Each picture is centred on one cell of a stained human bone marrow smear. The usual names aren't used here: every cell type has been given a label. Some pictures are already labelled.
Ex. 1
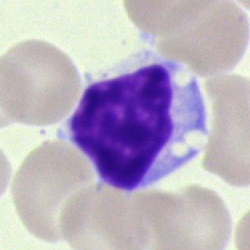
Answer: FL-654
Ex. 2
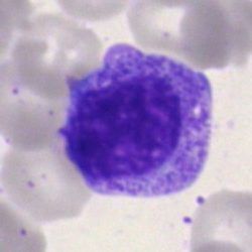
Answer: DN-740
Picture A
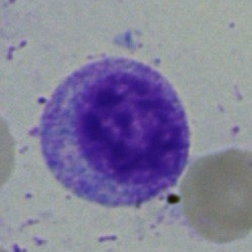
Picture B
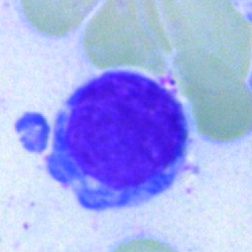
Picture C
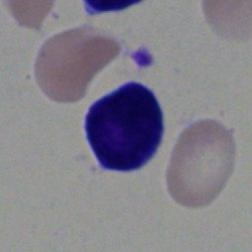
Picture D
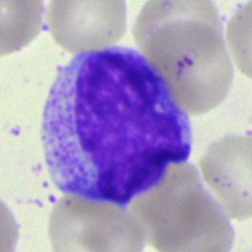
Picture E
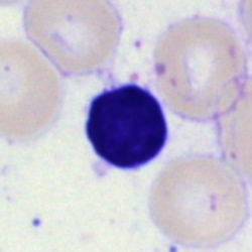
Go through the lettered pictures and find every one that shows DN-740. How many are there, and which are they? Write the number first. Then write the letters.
Count: 2 (A, D)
